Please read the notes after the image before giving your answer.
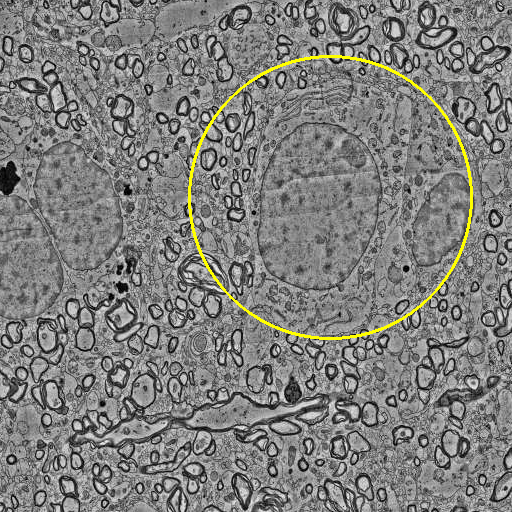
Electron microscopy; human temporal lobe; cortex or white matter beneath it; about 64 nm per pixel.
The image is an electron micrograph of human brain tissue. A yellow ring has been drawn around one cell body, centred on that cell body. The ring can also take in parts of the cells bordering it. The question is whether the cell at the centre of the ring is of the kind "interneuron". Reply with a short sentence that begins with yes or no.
Yes, the cell at the centre is of that kind.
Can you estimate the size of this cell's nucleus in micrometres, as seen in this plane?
The nucleus has a long axis of about 11 micrometres and a short axis of about 8 micrometres in this plane.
